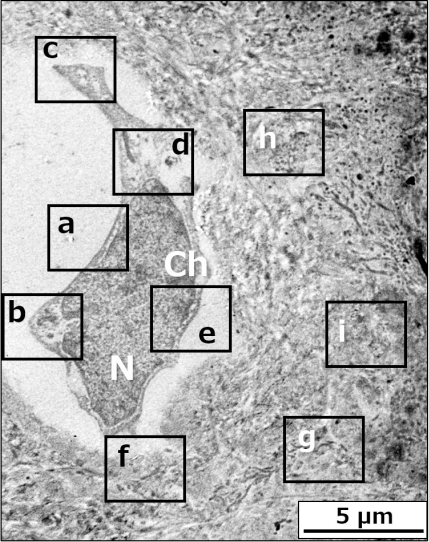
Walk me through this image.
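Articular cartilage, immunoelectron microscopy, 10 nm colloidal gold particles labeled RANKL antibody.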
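The cell is elongated and irregular, with a large nucleus taking up much of the cell body and a thin rim of cytoplasm drawn out into tapering processes. Around the cell lies a pale, electron-lucent pericellular zone with little texture. Beyond this zone the territorial matrix is denser and made of a fine fibrillar meshwork. Scattered small dark dots are seen within the matrix further from the cell.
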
